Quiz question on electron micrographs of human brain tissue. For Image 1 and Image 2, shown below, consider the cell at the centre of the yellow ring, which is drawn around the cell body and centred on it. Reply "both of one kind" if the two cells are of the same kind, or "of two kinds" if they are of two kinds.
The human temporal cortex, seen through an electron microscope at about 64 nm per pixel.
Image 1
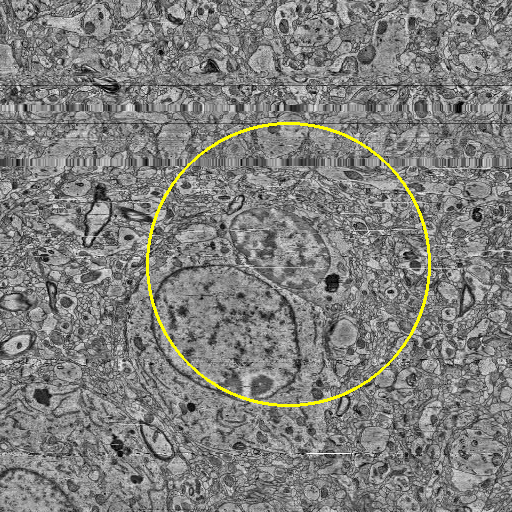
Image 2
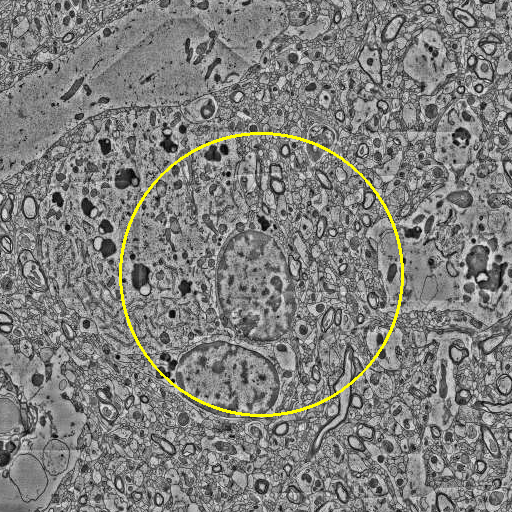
both of one kind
